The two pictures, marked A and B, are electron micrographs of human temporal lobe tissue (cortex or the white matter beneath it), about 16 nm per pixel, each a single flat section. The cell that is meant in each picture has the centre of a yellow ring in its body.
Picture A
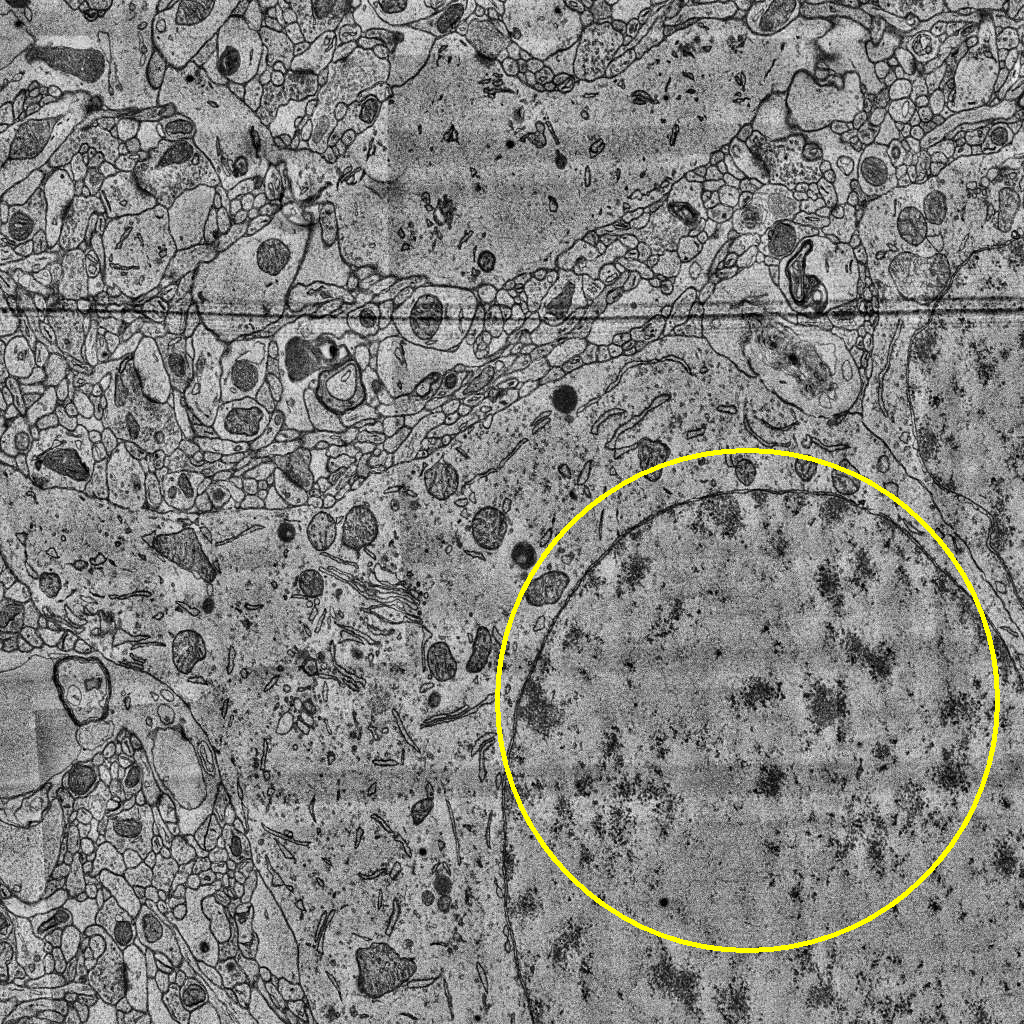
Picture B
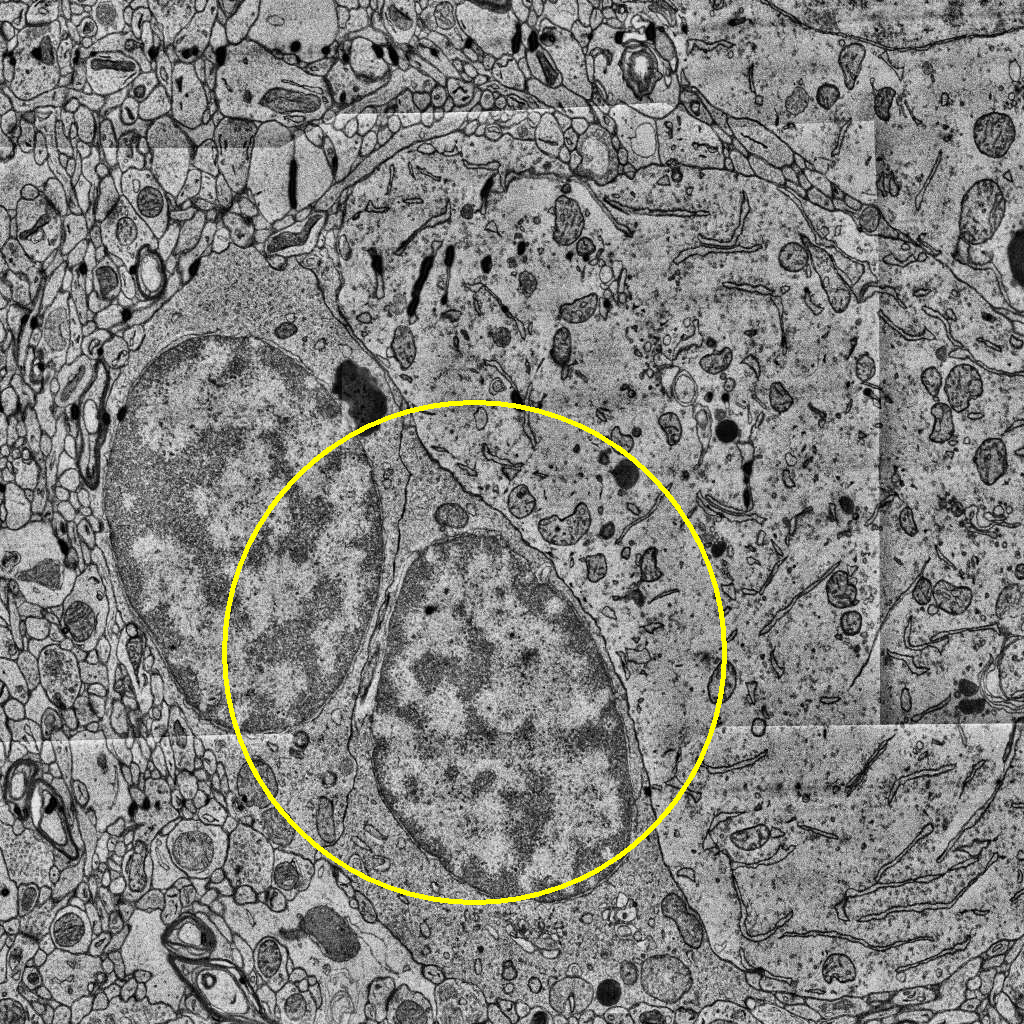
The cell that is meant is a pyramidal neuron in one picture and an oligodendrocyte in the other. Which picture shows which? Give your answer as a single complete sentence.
In picture A the cell is a pyramidal neuron; in picture B, an oligodendrocyte.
